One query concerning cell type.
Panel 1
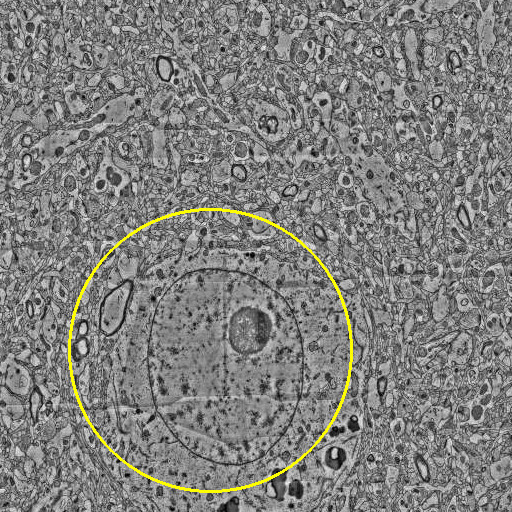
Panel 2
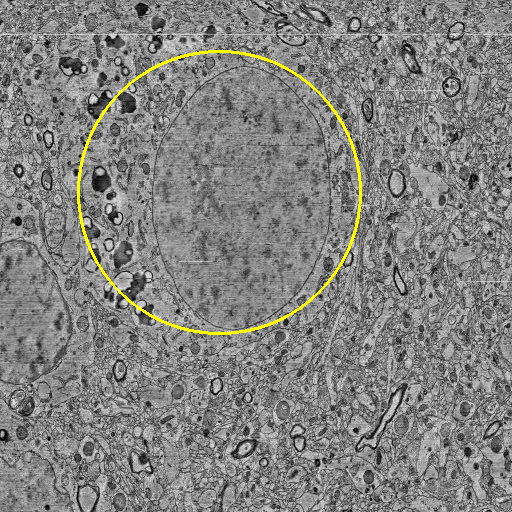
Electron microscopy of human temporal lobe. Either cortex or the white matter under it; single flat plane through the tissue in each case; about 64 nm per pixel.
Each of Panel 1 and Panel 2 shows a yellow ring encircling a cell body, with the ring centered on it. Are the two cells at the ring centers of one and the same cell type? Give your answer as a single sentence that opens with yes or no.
Yes, the cell centered in Panel 1 and the one in Panel 2 share a type.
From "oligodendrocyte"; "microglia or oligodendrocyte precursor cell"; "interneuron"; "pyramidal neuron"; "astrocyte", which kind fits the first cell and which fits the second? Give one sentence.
The first and the second cell are each a pyramidal neuron.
